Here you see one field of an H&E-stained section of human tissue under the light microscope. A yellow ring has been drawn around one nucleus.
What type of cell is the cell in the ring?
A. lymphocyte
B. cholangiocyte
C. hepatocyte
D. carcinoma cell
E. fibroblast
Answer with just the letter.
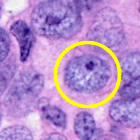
D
